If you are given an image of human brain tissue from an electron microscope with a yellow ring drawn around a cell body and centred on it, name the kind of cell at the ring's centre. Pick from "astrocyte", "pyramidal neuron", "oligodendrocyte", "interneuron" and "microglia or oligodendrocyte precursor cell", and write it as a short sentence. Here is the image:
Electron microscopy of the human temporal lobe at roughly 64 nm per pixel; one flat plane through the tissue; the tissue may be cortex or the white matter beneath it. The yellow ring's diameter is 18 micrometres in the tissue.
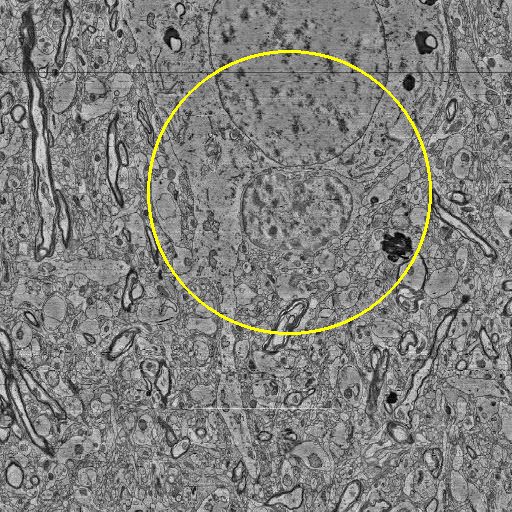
The cell at the ring's centre is an oligodendrocyte.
